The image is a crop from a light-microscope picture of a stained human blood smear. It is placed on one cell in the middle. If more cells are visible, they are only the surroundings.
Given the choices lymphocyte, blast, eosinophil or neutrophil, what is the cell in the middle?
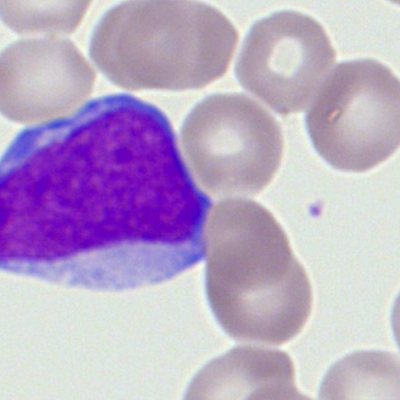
blast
